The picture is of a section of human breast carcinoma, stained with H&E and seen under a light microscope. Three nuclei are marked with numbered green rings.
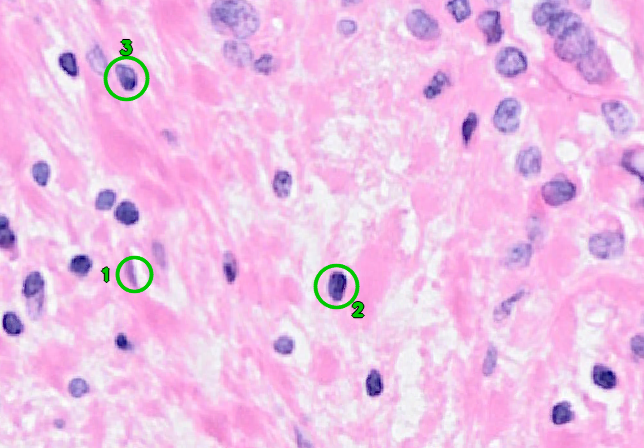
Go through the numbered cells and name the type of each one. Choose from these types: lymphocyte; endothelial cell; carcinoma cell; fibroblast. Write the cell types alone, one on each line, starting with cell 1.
fibroblast
lymphocyte
lymphocyte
